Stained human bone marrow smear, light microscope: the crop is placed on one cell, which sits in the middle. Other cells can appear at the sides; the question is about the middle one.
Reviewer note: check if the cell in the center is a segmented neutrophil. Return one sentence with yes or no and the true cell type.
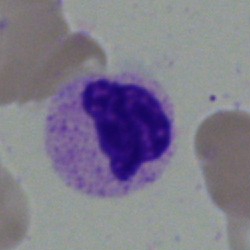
Yes, the cell sitting in the center is a segmented neutrophil.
